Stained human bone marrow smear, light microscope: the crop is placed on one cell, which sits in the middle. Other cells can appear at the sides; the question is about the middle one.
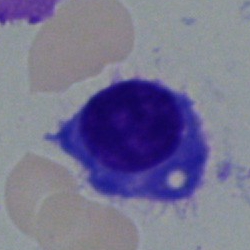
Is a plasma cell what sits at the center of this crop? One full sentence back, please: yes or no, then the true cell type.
Yes, the cell that the crop is centred on is a plasma cell.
